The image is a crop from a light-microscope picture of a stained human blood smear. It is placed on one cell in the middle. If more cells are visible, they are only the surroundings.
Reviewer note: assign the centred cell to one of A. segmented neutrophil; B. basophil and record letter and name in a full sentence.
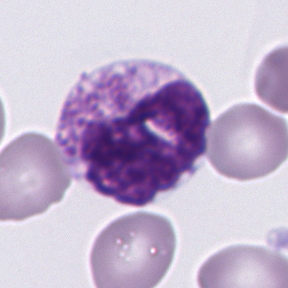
The one cell at the centre is a basophil, as correctly stated in option B.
